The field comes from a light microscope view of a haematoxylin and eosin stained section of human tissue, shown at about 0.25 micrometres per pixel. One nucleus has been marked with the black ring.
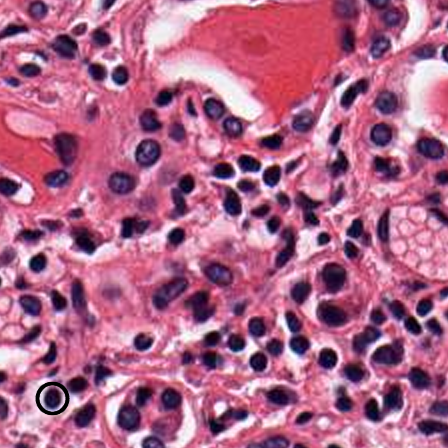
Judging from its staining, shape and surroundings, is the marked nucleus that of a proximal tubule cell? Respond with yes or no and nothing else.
no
